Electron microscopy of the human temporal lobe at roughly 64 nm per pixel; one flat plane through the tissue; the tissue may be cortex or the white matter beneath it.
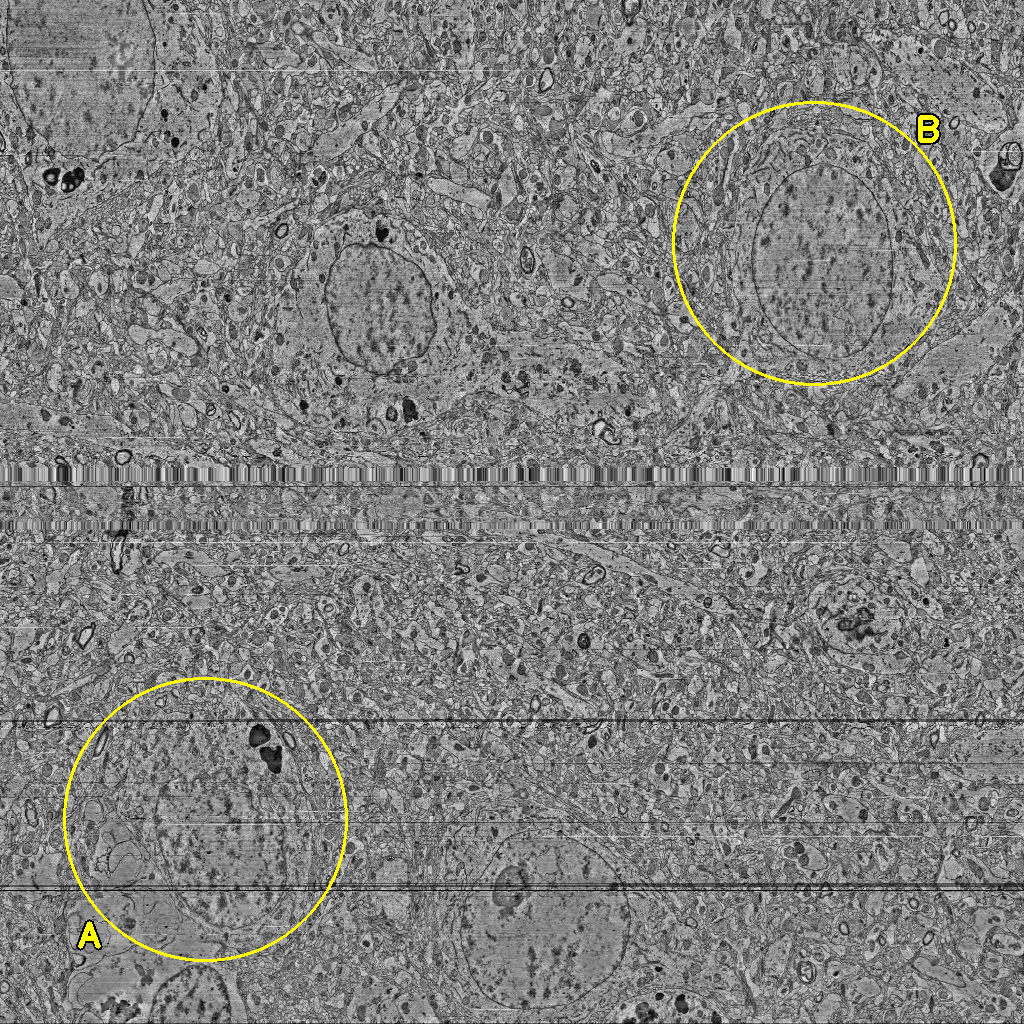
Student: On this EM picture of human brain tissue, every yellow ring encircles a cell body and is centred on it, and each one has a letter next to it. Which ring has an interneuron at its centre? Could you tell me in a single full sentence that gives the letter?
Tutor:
Ring A is the one drawn around the cell you are asking about.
